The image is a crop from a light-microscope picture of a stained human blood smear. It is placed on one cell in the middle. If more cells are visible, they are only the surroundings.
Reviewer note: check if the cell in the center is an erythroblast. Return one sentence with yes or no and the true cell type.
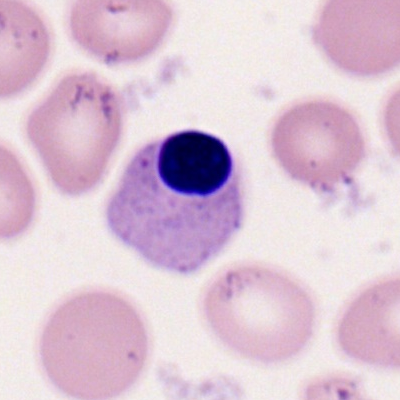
Yes, the cell centred in this crop is an erythroblast.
